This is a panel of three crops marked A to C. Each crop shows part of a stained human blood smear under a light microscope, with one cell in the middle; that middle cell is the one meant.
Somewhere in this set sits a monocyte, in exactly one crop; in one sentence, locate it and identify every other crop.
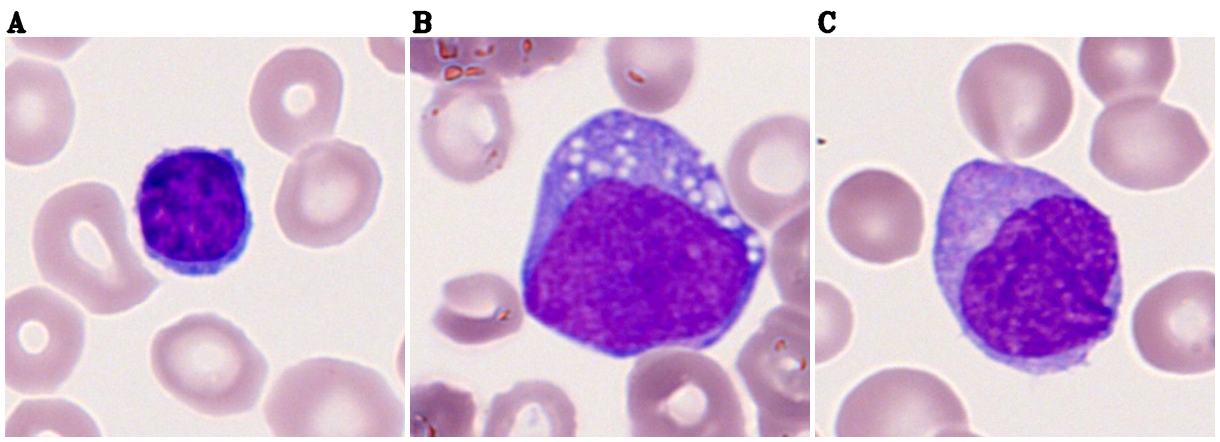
Summary: crop C shows a monocyte, while crop A is a lymphocyte and crop B is a myeloblast.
